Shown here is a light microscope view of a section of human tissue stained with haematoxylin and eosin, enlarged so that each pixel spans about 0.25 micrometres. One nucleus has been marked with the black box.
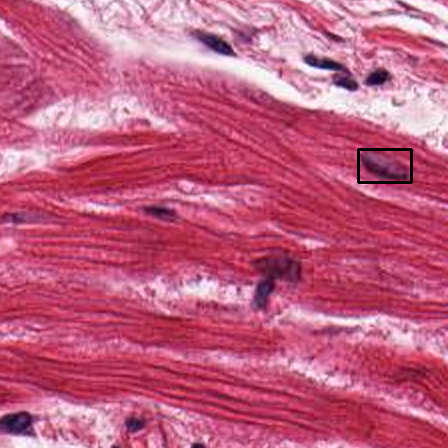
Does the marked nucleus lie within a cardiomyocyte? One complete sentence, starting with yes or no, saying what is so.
Yes, the marked nucleus is a part of a cardiomyocyte.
